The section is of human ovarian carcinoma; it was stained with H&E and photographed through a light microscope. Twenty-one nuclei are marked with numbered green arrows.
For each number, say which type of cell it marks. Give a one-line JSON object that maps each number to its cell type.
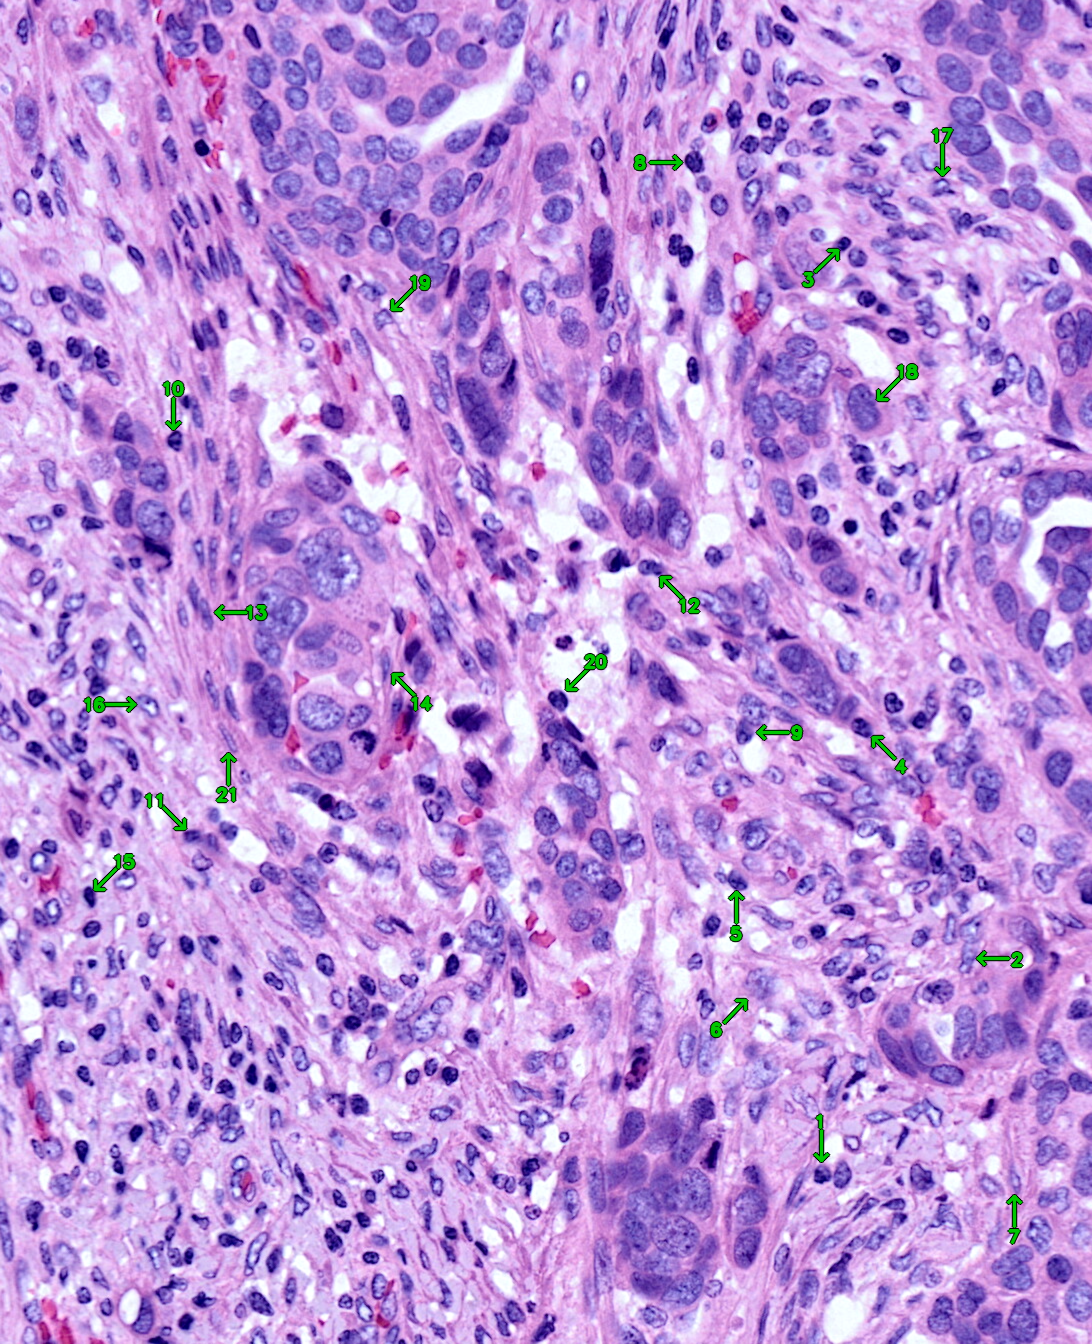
{"1": "lymphocyte", "2": "fibroblast", "3": "lymphocyte", "4": "lymphocyte", "5": "lymphocyte", "6": "fibroblast", "7": "fibroblast", "8": "lymphocyte", "9": "lymphocyte", "10": "lymphocyte", "11": "lymphocyte", "12": "lymphocyte", "13": "fibroblast", "14": "fibroblast", "15": "lymphocyte", "16": "fibroblast", "17": "fibroblast", "18": "carcinoma cell", "19": "fibroblast", "20": "lymphocyte", "21": "fibroblast"}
